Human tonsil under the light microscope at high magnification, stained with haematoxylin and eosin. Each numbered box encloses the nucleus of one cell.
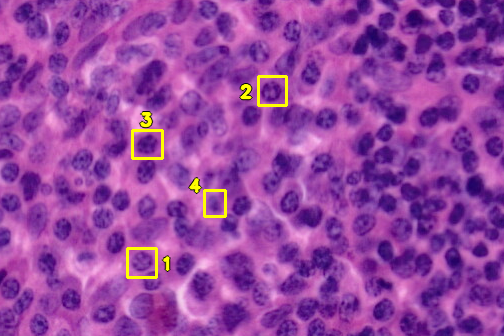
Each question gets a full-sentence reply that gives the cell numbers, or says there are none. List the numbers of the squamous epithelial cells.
Among the numbered cells, a squamous epithelial cell occurs only once, as cell 4.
